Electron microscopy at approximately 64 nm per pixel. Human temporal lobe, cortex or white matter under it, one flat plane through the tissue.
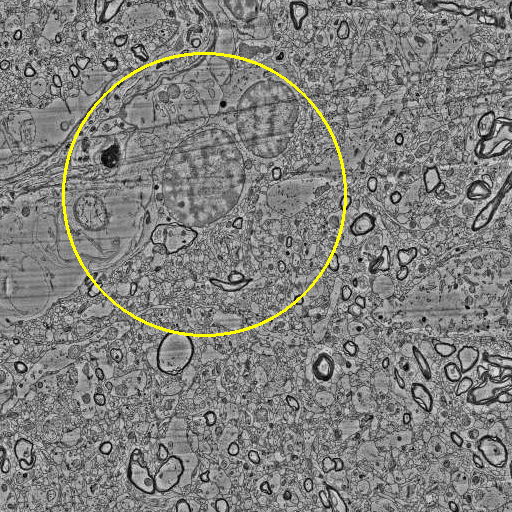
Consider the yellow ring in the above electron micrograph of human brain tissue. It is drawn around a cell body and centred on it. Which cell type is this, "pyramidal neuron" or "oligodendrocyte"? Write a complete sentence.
The cell in question is an oligodendrocyte.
